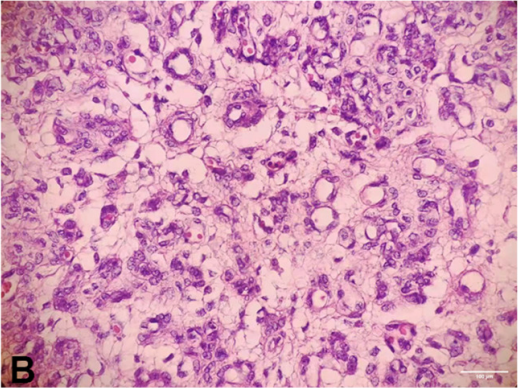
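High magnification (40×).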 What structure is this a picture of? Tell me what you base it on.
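Numerous small round lumens lined by flattened to plump cells crowd the field. Some lumens contain red blood cells. The lumens lie in a pale, loose, edematous stroma.
Small blood vessels.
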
